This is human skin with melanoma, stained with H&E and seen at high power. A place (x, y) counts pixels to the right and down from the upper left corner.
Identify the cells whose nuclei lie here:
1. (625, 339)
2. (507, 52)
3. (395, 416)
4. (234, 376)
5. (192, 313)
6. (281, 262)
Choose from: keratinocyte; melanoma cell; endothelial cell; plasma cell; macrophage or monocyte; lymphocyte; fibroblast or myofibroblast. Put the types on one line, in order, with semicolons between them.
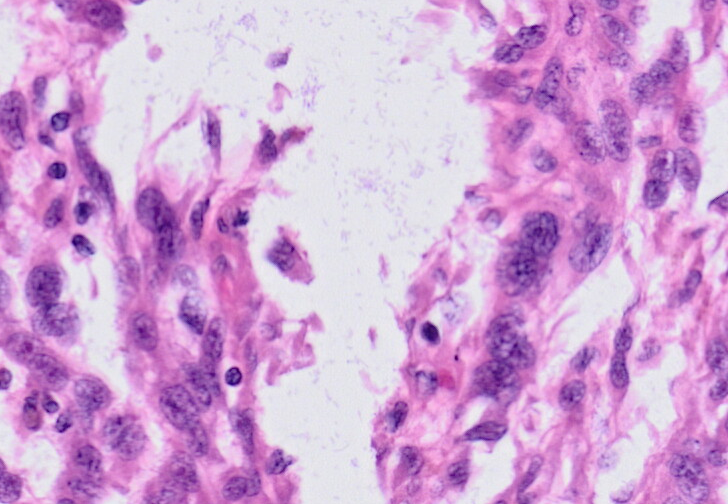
melanoma cell; melanoma cell; macrophage or monocyte; lymphocyte; melanoma cell; melanoma cell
